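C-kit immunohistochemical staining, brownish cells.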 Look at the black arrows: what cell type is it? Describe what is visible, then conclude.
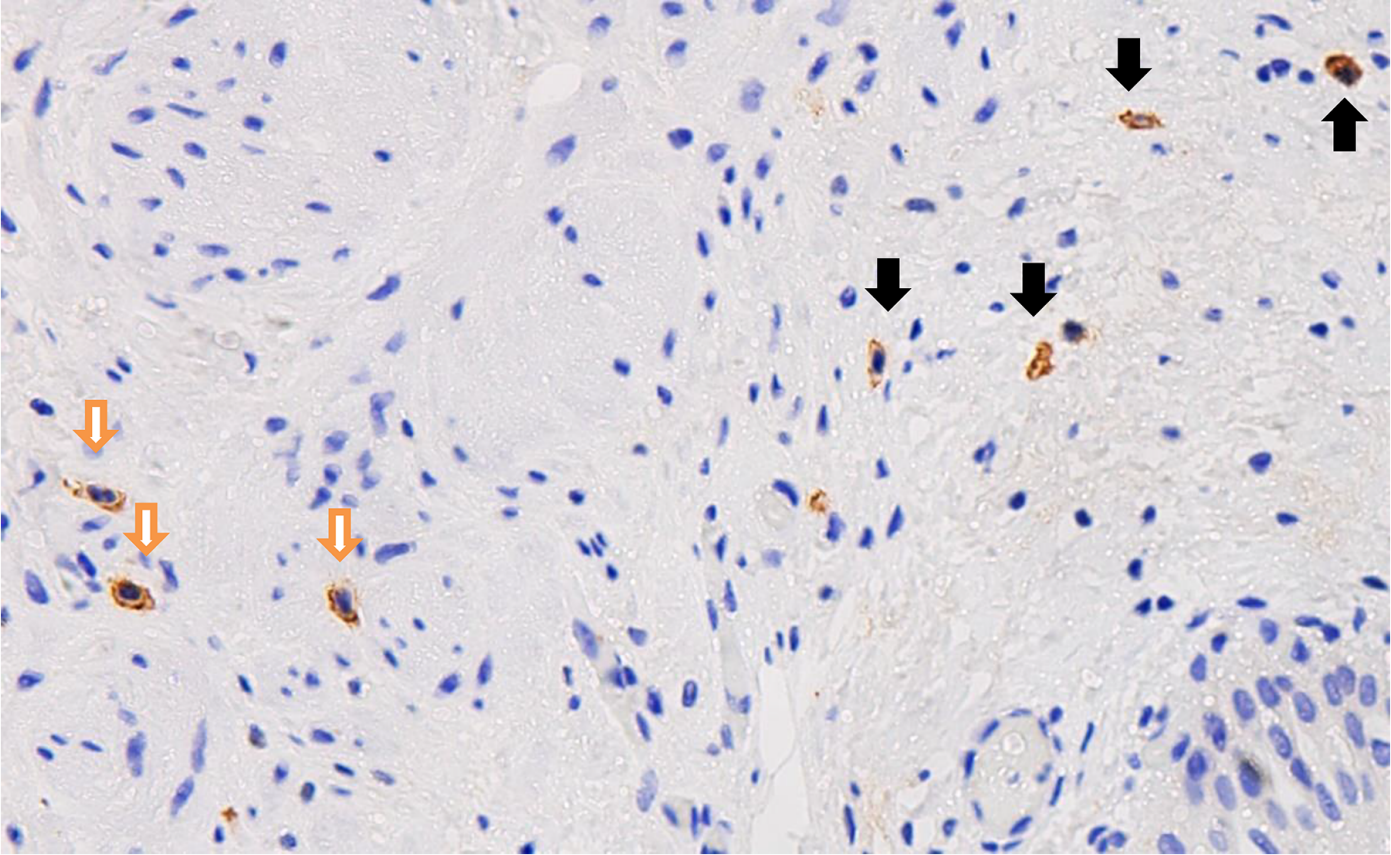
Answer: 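Mast cells. The marked cells are small, roundish to oval and stained brown. They lie scattered singly in loose, pale connective tissue.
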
